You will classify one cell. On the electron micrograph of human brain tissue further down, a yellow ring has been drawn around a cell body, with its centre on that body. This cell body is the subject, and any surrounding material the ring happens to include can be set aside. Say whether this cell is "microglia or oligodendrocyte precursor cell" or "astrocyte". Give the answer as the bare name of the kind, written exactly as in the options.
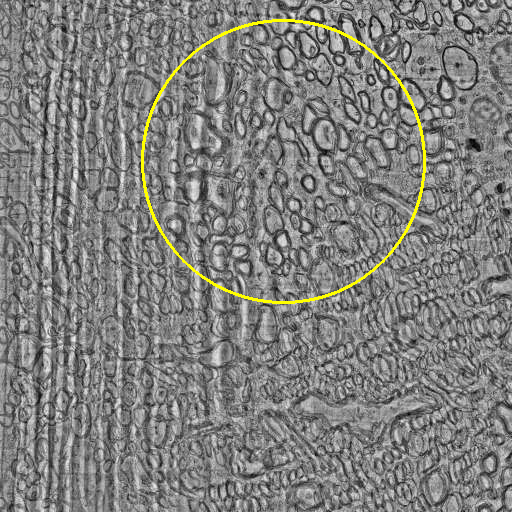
microglia or oligodendrocyte precursor cell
